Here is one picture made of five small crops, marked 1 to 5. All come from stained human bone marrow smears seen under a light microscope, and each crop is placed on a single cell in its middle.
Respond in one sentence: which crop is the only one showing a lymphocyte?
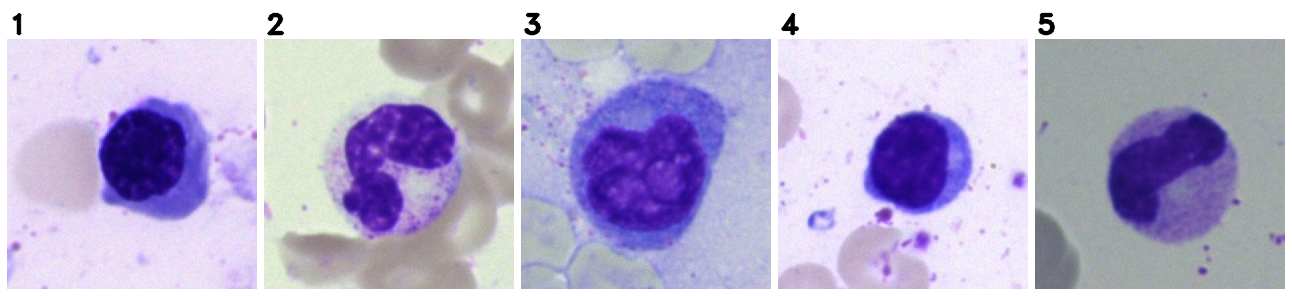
Of the labeled crops, the one with a lymphocyte is crop 4.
